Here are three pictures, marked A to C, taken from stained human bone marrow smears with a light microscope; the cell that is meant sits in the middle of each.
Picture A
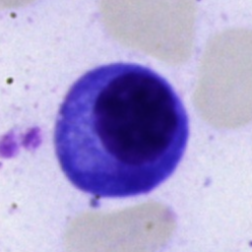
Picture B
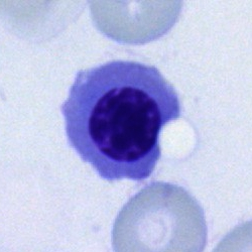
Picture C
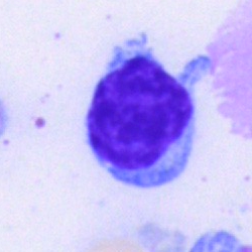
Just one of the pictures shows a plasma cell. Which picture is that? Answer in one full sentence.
It is picture A that shows the plasma cell.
